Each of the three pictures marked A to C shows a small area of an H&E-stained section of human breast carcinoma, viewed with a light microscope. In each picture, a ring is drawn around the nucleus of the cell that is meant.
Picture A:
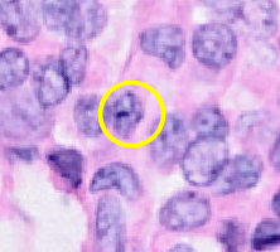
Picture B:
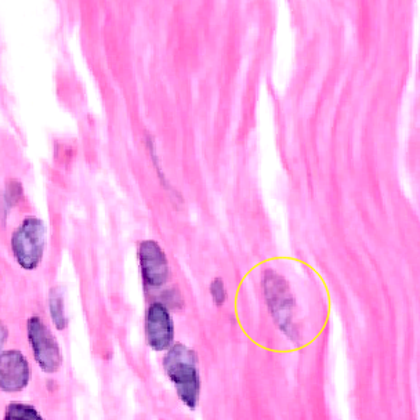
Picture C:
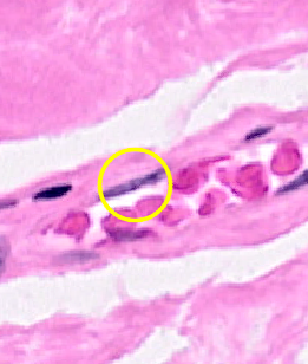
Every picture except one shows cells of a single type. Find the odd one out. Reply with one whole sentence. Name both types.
Picture B differs, because its cell is a fibroblast and the rest are endothelial cells.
